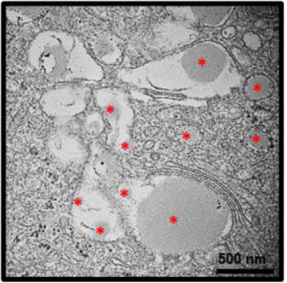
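High-power view of the trans-Golgi network of an enterocyte. Stacked, curved membrane cisternae run through the field beside many pale, dilated membrane-bound vesicles. Within the vesicles lie round, homogeneous grey chylomicrons, several of them very large and filling much of their vesicle. Smaller particles sit in smaller vesicles scattered among the cisternae and surrounding ribosome-studded cytoplasm.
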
